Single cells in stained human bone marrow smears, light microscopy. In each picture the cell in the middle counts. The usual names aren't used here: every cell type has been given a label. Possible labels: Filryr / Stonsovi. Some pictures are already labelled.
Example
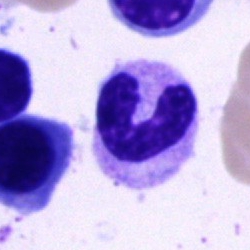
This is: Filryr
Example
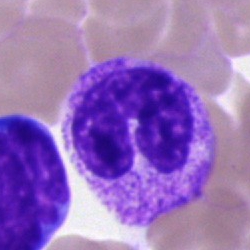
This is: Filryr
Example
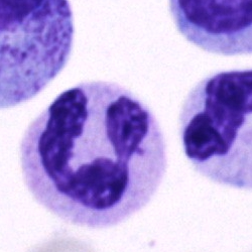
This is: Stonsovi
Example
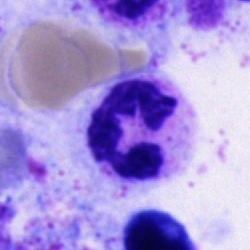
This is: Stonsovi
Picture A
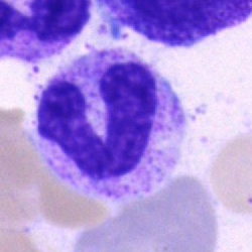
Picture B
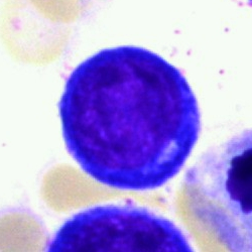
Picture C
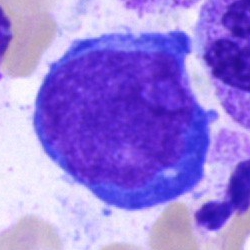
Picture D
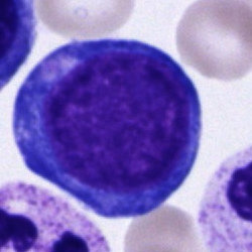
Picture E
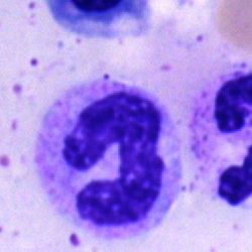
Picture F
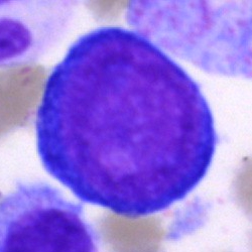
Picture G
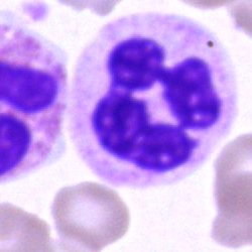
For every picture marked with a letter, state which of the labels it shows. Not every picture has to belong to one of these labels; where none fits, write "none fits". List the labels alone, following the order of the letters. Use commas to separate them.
Filryr, none fits, none fits, none fits, Filryr, none fits, Stonsovi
